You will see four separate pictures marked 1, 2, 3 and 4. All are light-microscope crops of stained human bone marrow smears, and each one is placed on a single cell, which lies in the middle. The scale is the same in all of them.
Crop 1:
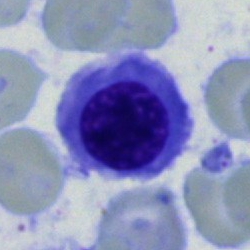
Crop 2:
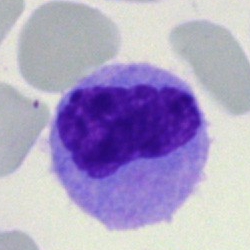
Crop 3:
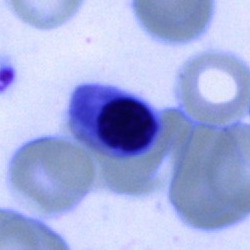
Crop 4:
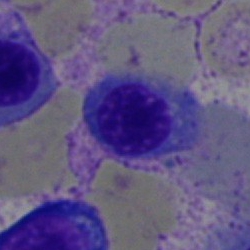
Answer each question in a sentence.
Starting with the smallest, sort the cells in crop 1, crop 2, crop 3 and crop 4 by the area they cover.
From the smallest up, the order is 3, 4, 1, 2.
